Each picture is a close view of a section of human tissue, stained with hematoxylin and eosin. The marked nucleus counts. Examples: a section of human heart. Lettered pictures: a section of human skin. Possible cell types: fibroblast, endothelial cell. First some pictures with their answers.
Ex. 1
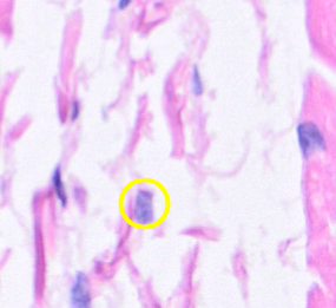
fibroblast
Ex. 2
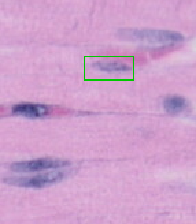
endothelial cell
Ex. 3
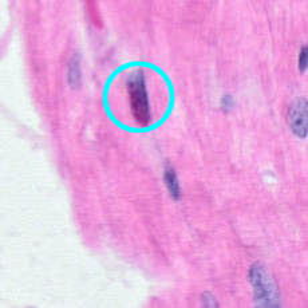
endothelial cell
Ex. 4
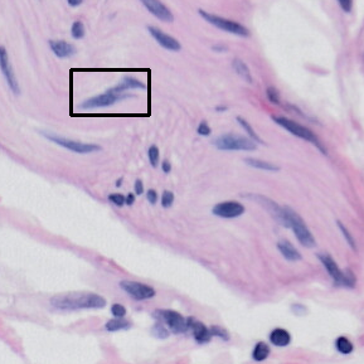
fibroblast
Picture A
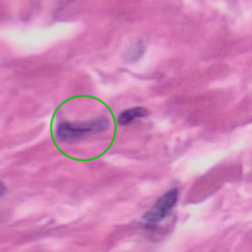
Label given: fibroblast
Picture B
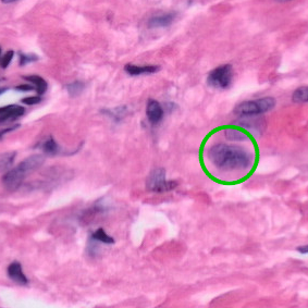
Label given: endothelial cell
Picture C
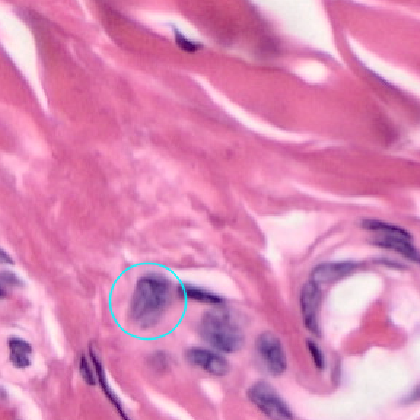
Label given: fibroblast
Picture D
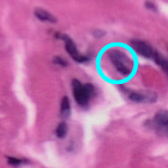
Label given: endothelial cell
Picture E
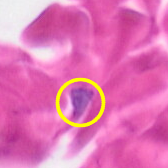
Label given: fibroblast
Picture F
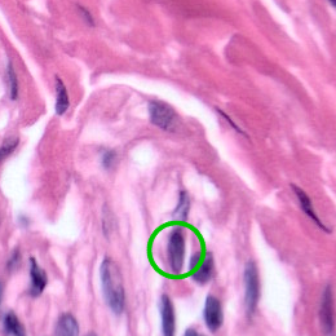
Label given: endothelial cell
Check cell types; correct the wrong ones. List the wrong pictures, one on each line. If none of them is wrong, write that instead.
C should be endothelial cell, not fibroblast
